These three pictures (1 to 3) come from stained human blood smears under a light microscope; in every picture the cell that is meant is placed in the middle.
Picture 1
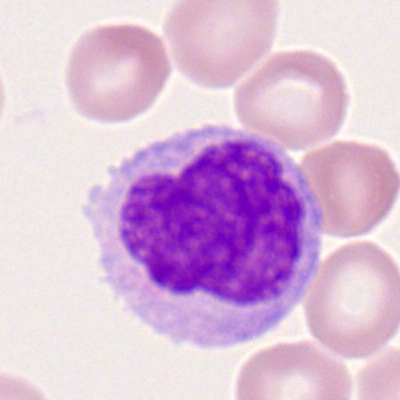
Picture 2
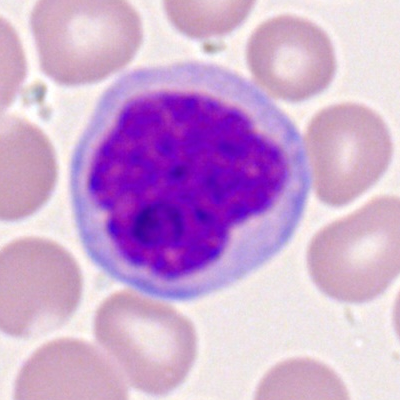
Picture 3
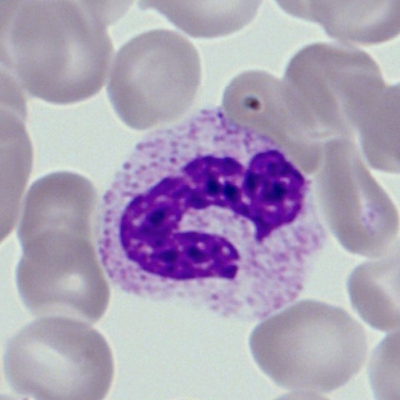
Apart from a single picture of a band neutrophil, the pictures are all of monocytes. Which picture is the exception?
3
